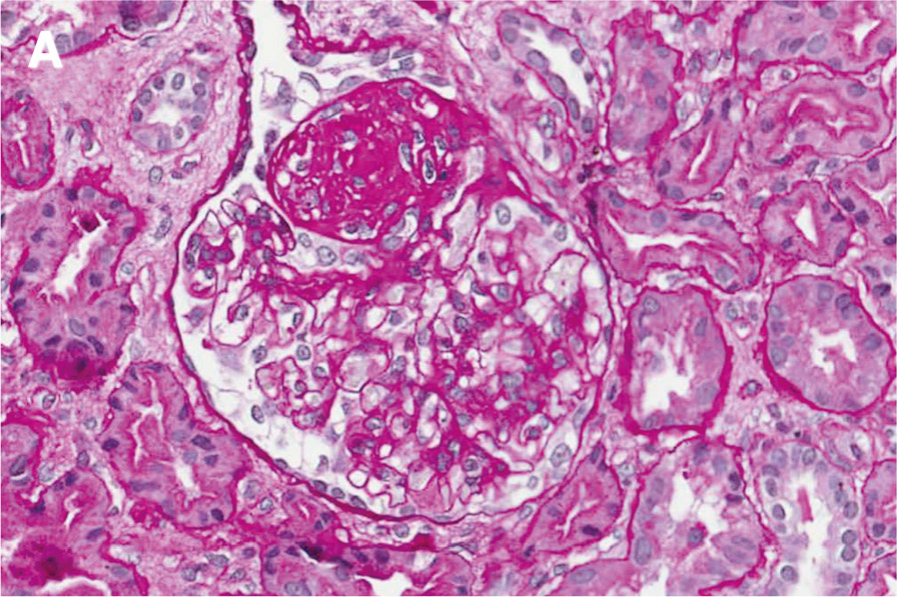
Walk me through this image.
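A large glomerulus sits in the centre of renal cortex, surrounded by cross-sectioned tubules lined by cuboidal epithelium. In its upper part a segment of the tuft is replaced by dense, deep magenta material with scattered nuclei and no open capillary loops, a sclerotic lesion. The rest of the tuft shows capillary loops outlined by magenta basement membranes, with areas of increased magenta matrix and crowded nuclei in the mesangial regions. A thin magenta capsule encloses the glomerulus, with a narrow clear space between it and the tuft. The surrounding tubules have magenta basement membranes and pink cytoplasm with round nuclei.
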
